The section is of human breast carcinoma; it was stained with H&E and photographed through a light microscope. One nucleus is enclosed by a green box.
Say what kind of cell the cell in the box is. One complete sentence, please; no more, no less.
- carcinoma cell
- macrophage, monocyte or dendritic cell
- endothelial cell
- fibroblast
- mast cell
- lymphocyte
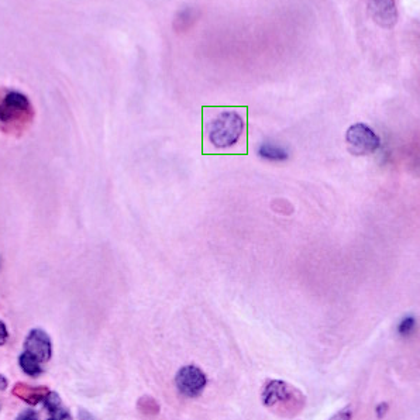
Within the stained tissue, the cell in the box is a macrophage, monocyte or dendritic cell.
